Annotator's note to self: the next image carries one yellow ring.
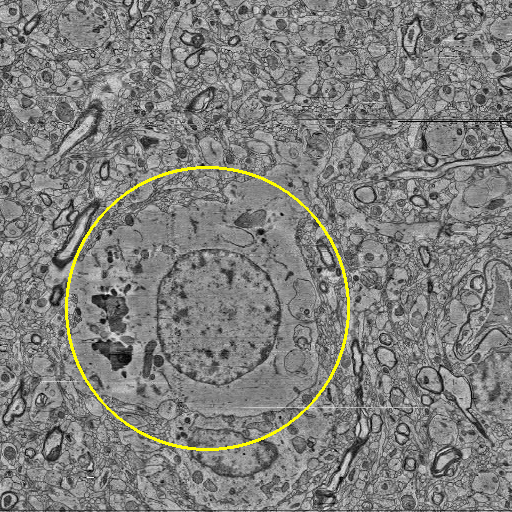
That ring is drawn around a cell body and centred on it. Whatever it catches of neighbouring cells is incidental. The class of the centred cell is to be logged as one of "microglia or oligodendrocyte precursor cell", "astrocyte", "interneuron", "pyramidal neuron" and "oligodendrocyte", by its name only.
astrocyte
